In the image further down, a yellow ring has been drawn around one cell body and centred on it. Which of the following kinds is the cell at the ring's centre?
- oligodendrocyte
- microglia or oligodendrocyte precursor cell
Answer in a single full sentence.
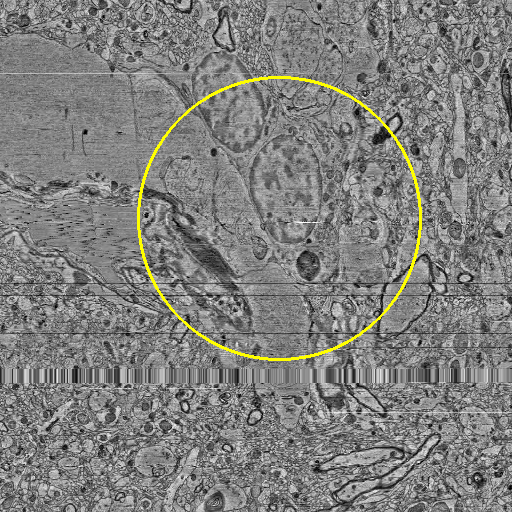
In the picture, the cell sitting at the centre of the yellow ring is an oligodendrocyte.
